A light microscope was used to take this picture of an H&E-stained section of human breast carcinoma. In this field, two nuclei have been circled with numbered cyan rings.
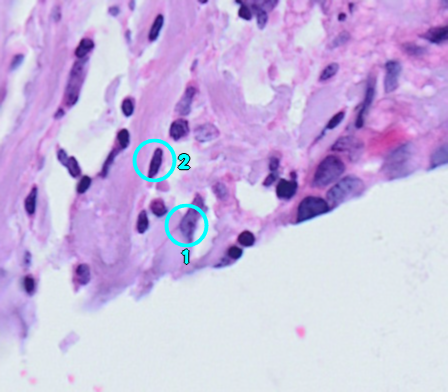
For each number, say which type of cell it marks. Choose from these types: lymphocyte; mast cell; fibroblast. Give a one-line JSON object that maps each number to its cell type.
{"1": "fibroblast", "2": "lymphocyte"}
